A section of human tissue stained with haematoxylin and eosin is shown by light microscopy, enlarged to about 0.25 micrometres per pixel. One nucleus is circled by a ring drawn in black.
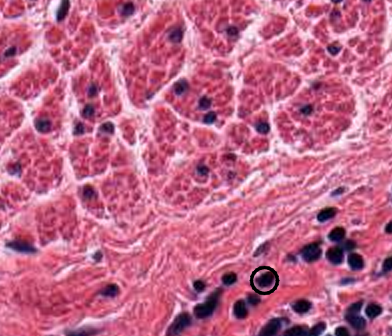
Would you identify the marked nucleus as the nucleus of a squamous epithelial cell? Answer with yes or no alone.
no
